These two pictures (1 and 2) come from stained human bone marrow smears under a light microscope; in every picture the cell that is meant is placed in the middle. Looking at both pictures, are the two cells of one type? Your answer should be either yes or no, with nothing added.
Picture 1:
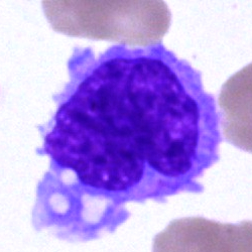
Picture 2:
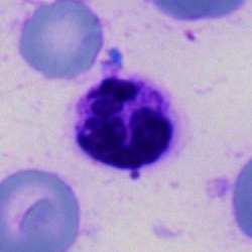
no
